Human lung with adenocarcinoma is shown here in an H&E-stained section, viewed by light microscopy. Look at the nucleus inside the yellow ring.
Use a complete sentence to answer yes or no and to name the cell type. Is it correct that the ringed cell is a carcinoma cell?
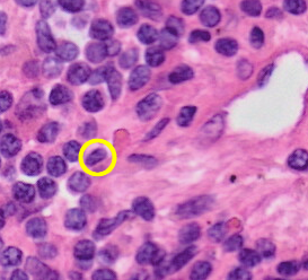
No, the right answer is that the ringed cell is a lymphocyte, not a carcinoma cell.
